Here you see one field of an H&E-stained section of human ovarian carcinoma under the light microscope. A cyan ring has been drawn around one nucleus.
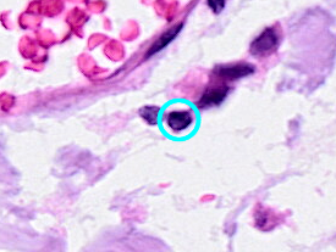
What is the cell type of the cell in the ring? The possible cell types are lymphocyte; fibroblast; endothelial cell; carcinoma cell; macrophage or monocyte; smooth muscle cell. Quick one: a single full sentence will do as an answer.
In the tissue under study, the cell in the ring is a lymphocyte.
